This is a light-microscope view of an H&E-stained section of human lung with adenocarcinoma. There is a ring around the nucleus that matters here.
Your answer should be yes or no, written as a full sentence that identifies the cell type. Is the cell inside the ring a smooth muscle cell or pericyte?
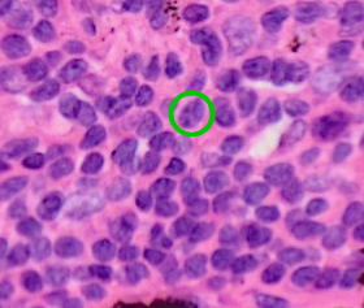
No, the cell inside the ring is classed as a lymphocyte, not a smooth muscle cell or pericyte.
